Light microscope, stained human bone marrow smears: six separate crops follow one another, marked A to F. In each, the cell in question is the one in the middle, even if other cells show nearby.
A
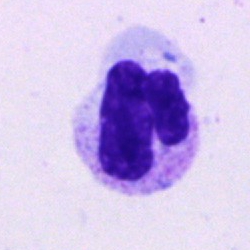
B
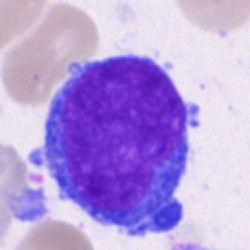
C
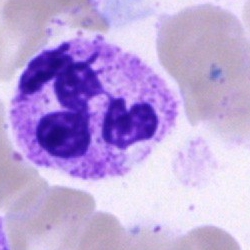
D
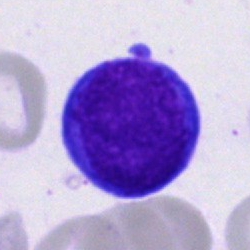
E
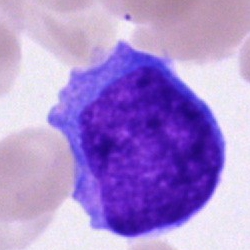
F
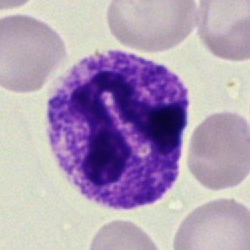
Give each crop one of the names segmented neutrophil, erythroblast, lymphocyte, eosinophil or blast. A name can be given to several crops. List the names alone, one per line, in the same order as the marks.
segmented neutrophil
blast
segmented neutrophil
blast
blast
segmented neutrophil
